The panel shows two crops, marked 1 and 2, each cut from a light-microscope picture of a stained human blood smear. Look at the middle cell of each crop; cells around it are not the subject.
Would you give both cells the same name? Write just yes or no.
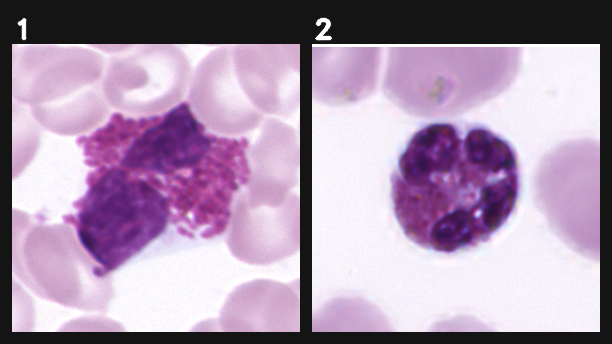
yes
